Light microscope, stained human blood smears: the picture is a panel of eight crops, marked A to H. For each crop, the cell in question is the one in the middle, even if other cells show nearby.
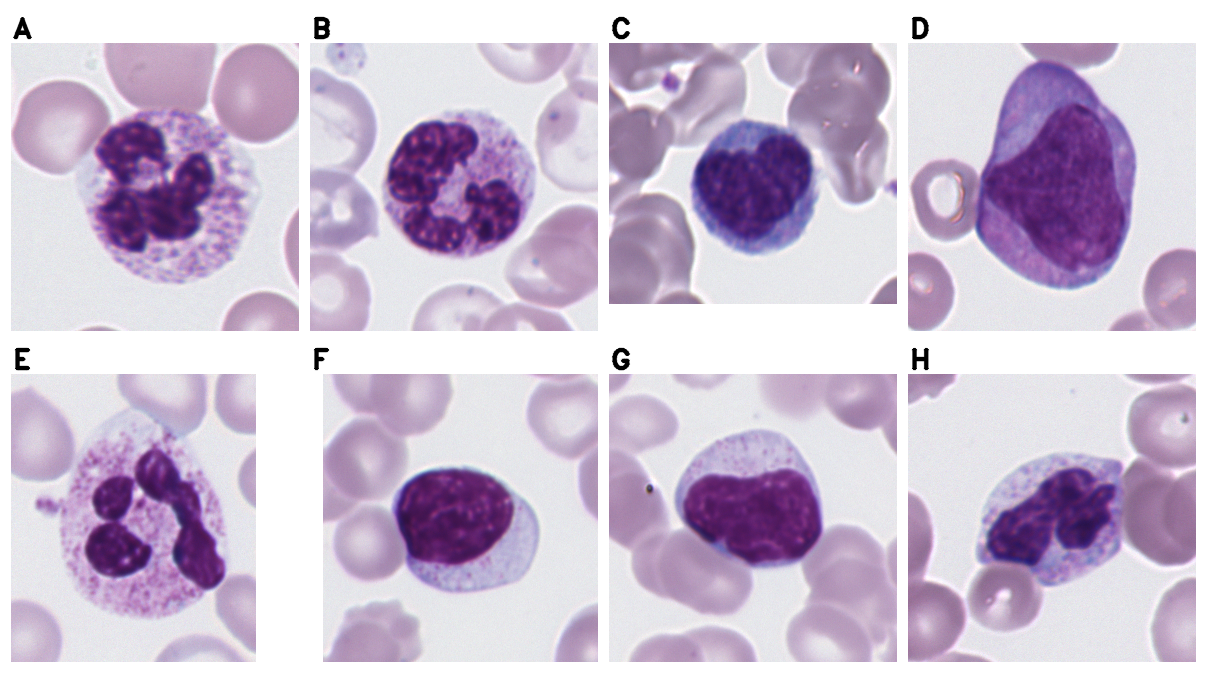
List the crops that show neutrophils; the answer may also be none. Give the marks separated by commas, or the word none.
A, B, E, H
